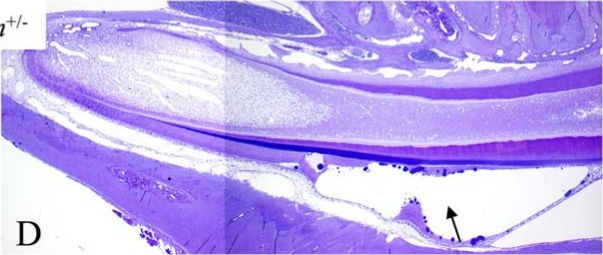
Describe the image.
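A long, curved tooth is seen in section, with a pale central pulp full of loosely arranged cells and a dark purple band of dentin along its side. Further along, this layer becomes irregular and disturbed. Next to it, a large, empty-looking cavity has opened within the enamel organ. It is bounded by thin walls, with dark purple clumps along one edge.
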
